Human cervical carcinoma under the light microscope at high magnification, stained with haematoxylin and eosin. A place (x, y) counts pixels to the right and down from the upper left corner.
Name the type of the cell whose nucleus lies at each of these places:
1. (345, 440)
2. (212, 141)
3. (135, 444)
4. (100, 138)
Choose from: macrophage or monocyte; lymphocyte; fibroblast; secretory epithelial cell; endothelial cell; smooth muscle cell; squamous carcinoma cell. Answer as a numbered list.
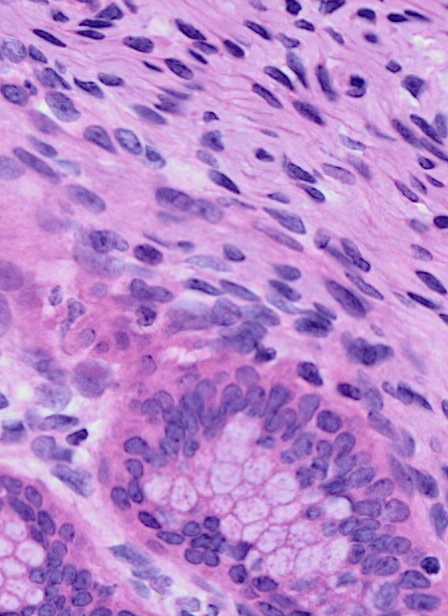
1. secretory epithelial cell
2. fibroblast
3. secretory epithelial cell
4. endothelial cell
